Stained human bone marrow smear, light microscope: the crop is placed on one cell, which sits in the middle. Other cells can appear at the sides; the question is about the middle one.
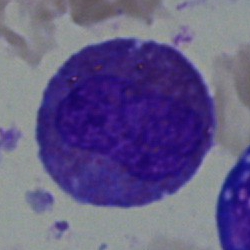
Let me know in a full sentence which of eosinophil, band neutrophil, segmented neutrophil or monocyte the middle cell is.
This crop is built around an eosinophil at its centre.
